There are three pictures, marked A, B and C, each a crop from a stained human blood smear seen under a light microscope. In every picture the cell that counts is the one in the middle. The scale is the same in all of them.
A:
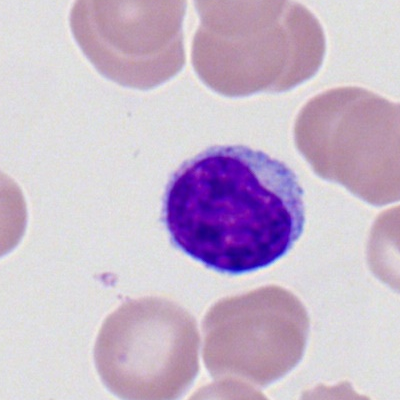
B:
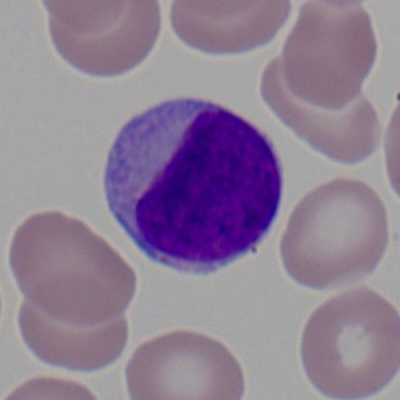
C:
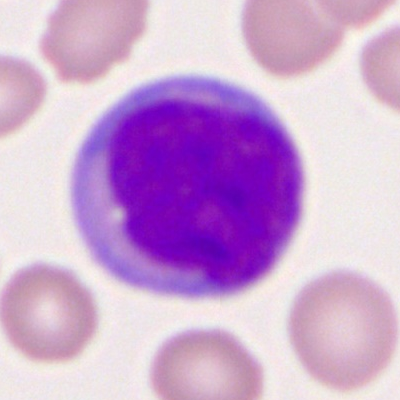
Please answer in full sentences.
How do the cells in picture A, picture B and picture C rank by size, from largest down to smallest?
From the largest down, the order is C, B, A.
